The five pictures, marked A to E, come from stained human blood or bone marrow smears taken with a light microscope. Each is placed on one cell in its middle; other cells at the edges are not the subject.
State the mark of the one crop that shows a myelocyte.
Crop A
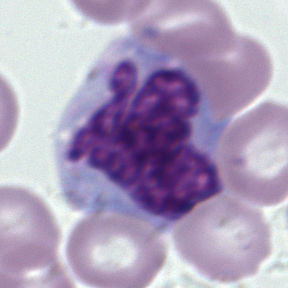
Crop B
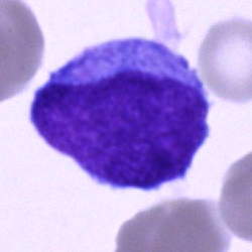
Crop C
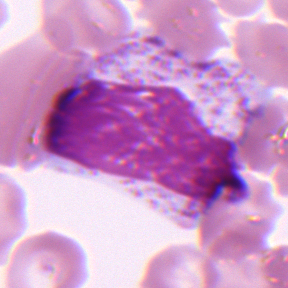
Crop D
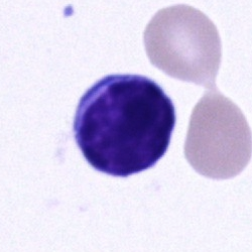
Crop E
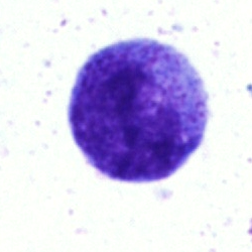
C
